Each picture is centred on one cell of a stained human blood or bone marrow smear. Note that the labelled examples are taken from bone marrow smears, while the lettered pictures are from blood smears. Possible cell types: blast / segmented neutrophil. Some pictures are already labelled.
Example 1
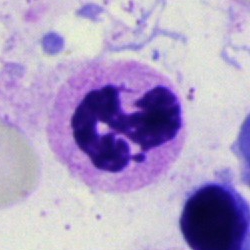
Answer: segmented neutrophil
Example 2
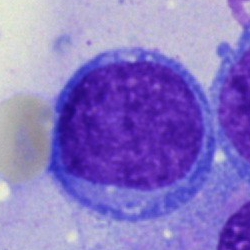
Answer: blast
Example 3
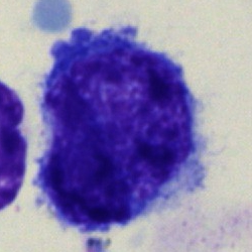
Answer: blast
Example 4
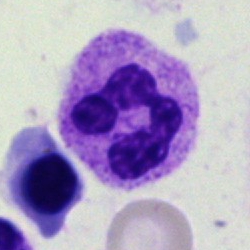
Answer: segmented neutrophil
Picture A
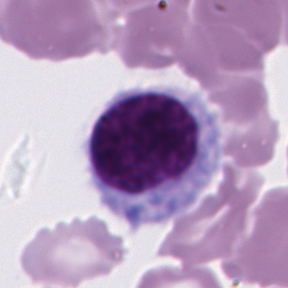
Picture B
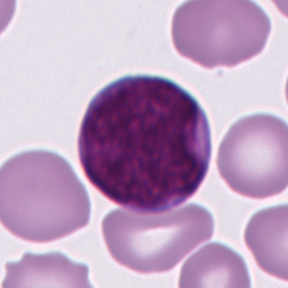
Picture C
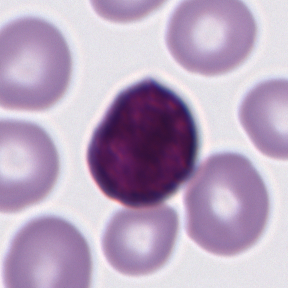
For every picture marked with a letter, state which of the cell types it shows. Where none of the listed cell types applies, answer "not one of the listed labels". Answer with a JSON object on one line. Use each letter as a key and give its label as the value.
{"A": "not one of the listed labels", "B": "blast", "C": "blast"}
